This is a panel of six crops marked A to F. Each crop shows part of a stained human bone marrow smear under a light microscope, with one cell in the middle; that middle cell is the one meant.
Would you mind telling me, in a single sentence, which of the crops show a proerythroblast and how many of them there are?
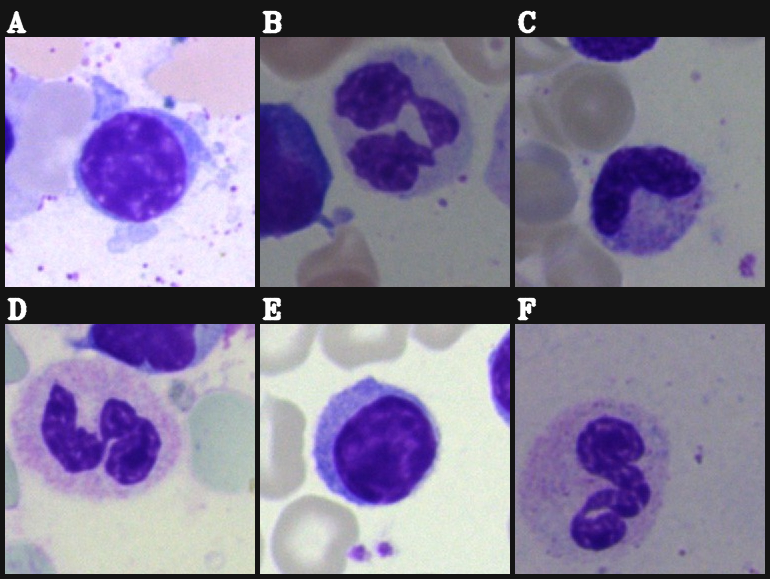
Since not one of the crops shows proerythroblasts, the count is zero.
